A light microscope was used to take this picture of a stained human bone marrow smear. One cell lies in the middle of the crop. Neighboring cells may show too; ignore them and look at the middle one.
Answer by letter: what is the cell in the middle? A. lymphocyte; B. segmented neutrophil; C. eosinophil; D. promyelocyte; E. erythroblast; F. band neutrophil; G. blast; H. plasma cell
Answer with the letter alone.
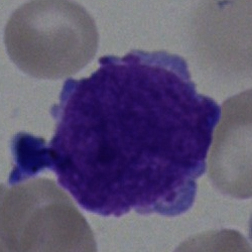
G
